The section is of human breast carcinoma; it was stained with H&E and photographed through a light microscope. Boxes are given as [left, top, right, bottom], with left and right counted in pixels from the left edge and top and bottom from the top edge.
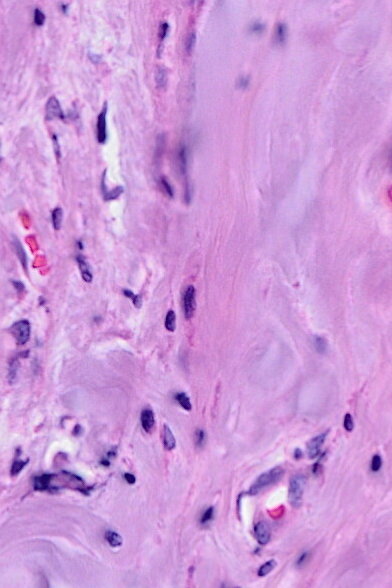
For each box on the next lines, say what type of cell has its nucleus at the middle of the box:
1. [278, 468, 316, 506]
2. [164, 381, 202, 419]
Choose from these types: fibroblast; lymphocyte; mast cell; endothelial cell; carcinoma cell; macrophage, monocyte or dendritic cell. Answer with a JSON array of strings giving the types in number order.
["endothelial cell", "lymphocyte"]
